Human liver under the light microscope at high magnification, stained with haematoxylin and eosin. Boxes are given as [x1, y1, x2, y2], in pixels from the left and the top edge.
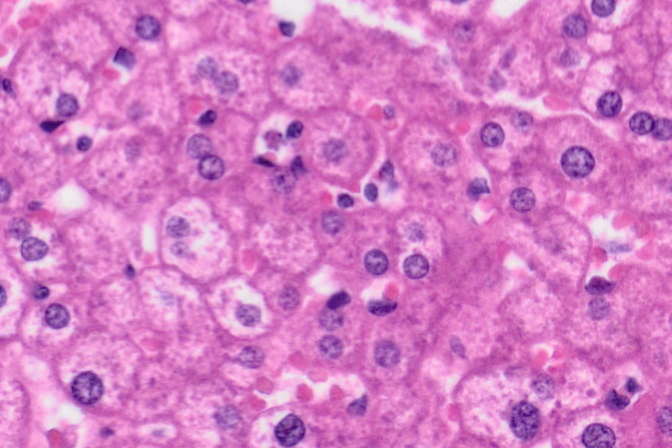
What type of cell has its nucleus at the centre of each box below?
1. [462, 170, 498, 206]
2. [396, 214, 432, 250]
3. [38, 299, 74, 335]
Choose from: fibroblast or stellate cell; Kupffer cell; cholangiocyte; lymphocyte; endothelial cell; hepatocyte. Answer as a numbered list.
1. endothelial cell
2. hepatocyte
3. hepatocyte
